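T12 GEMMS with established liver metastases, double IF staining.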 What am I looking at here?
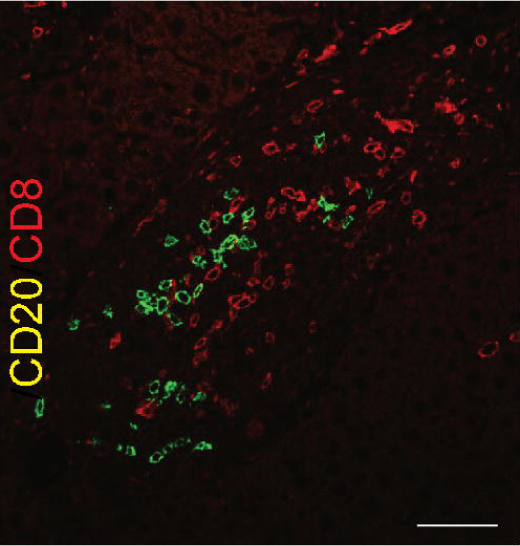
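This is a fluorescence image of tissue with a dense cluster of small, round cells spread as a loose band through a dark background. Many cells show a green ring-like outline at their surface, and these green cells are grouped together toward the middle of the cluster. Red-outlined cells of similar small size are scattered more widely around and among the green cells, extending further toward the upper right. The two colours mark separate cells that lie side by side in the same aggregate rather than overlapping on one cell.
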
